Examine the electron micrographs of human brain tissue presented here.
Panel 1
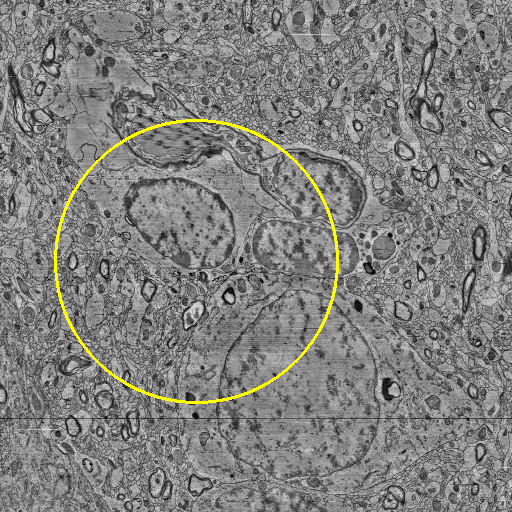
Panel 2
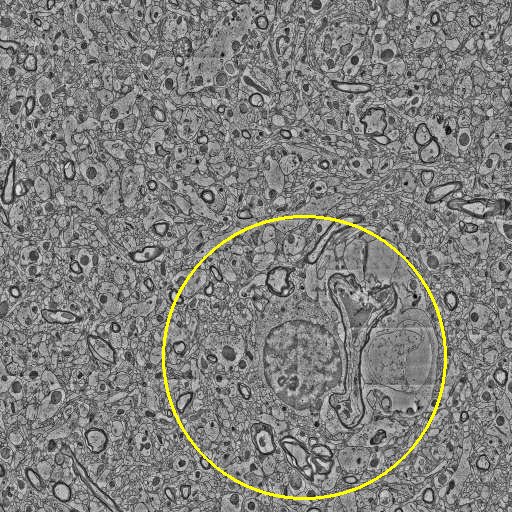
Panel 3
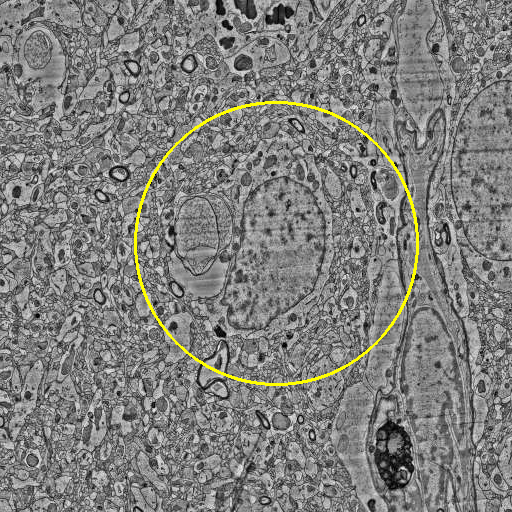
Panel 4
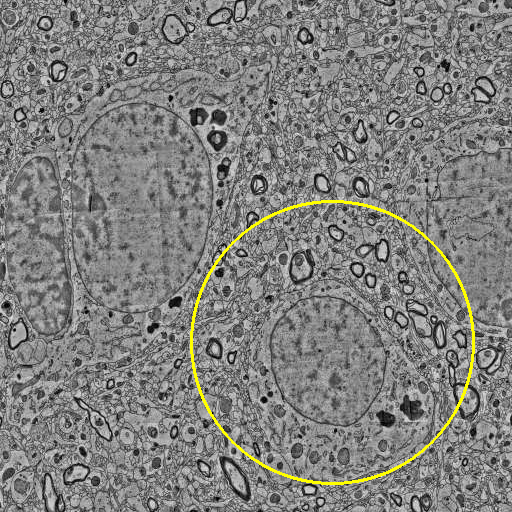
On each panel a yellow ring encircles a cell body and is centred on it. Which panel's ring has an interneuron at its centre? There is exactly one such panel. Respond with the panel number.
3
